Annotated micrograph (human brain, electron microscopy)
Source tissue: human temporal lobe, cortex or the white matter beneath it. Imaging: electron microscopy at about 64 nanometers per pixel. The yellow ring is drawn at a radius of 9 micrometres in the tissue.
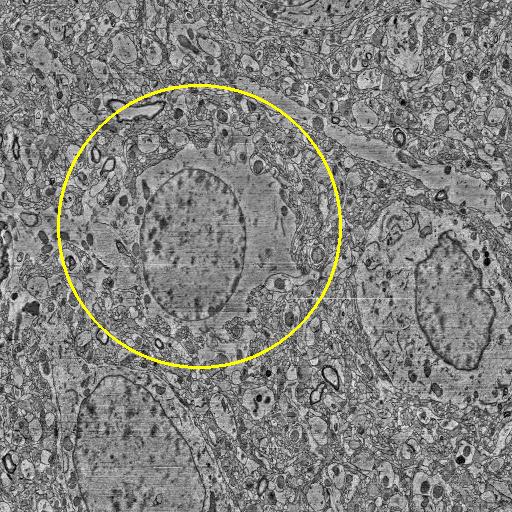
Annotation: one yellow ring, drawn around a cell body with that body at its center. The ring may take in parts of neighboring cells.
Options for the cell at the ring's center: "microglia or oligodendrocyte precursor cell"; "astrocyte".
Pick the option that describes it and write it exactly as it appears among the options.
astrocyte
